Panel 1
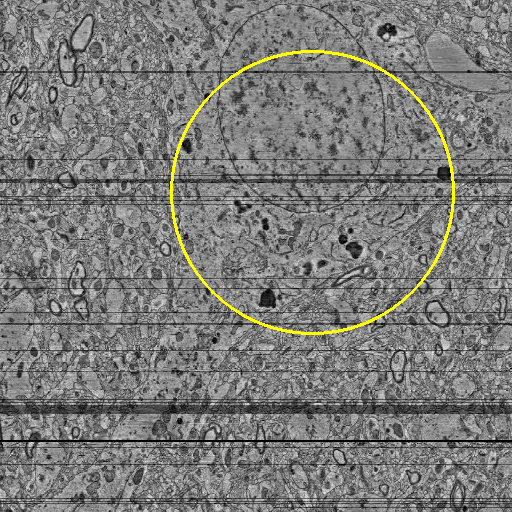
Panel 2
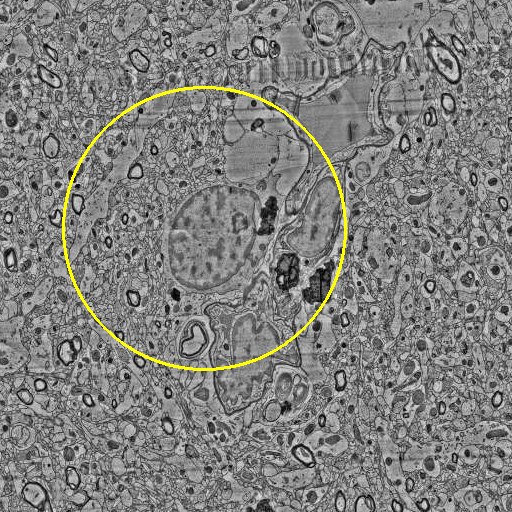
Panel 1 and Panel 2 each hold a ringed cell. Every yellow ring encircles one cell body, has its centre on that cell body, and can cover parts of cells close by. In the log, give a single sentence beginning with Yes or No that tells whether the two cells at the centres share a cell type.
No, in Panel 1 and Panel 2 the centred cells are of two cell types.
